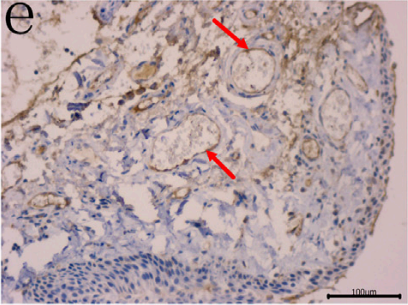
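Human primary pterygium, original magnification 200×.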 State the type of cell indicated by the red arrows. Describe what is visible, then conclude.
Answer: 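The arrows point to the thin cell lining of round vessel lumina. The lining cells are flat and stained light brown.
Hence: vascular endothelial cells.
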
